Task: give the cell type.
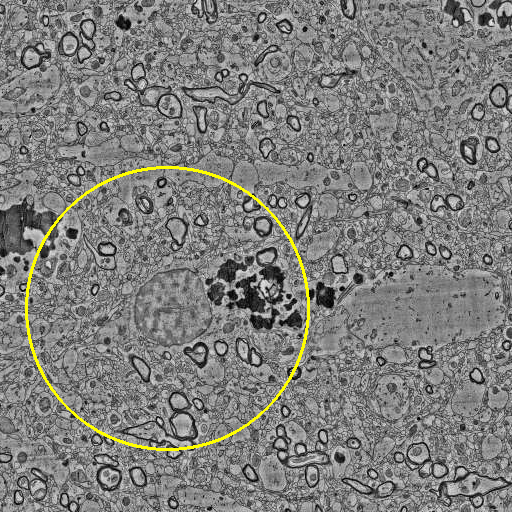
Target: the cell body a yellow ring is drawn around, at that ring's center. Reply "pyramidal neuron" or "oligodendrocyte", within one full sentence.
In this picture, the cell whose body lies at the ring's center is an oligodendrocyte.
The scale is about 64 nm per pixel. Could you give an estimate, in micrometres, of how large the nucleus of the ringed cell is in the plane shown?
In this plane, approximately 6 micrometres across.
